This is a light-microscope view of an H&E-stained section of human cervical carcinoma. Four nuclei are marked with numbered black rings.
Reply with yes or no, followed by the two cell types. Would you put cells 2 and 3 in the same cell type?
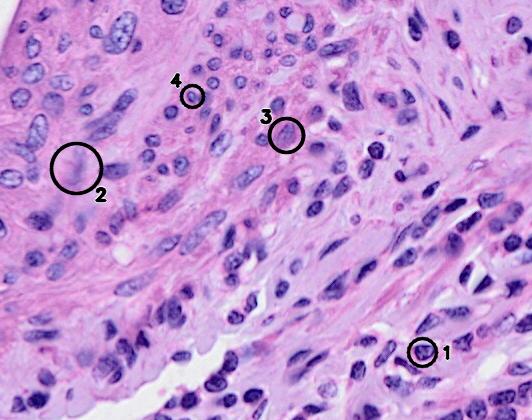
Yes, both are smooth muscle cells.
